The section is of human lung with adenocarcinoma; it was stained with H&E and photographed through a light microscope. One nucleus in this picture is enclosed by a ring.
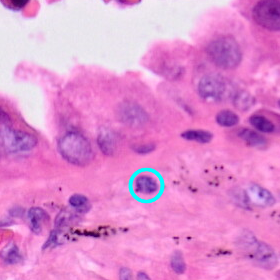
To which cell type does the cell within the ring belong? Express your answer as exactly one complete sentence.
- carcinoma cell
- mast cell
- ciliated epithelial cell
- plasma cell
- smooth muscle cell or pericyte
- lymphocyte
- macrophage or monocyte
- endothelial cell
So far as cell type goes, the cell within the ring is a mast cell.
